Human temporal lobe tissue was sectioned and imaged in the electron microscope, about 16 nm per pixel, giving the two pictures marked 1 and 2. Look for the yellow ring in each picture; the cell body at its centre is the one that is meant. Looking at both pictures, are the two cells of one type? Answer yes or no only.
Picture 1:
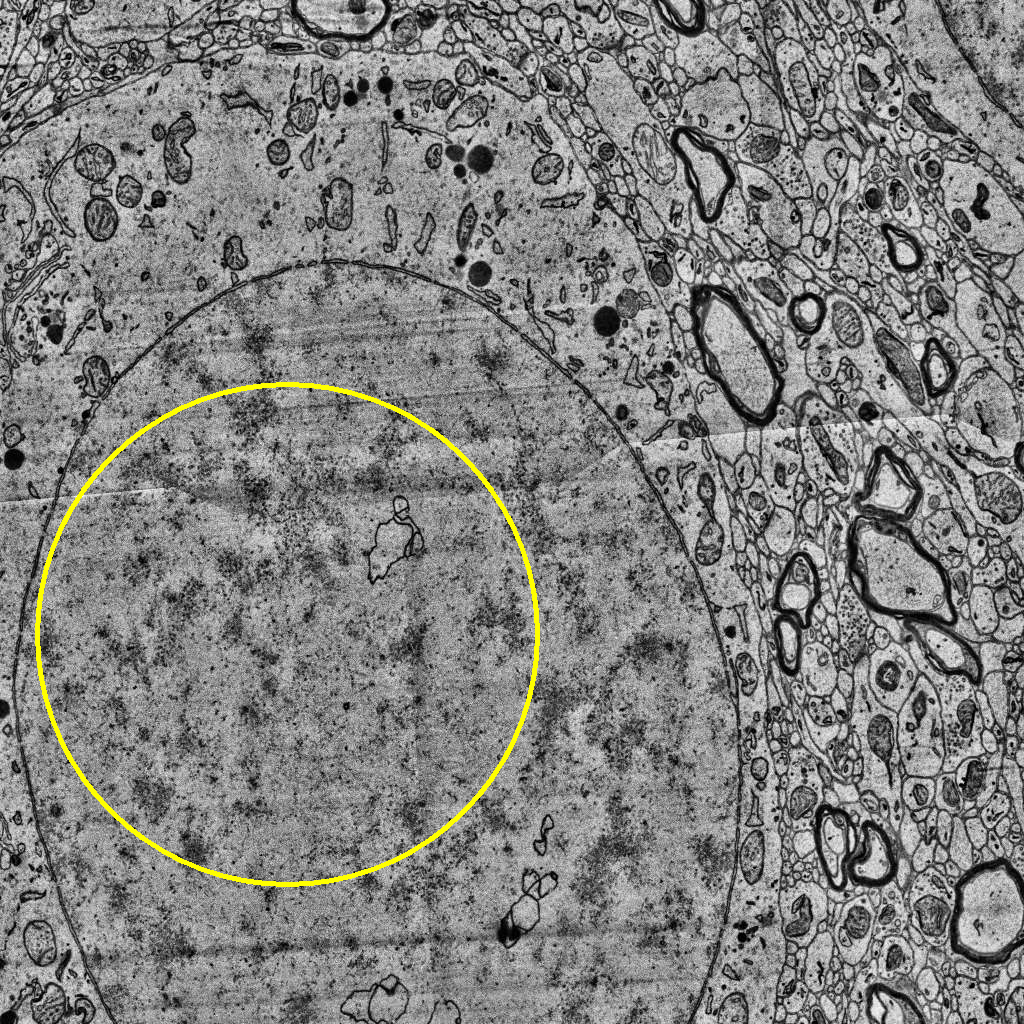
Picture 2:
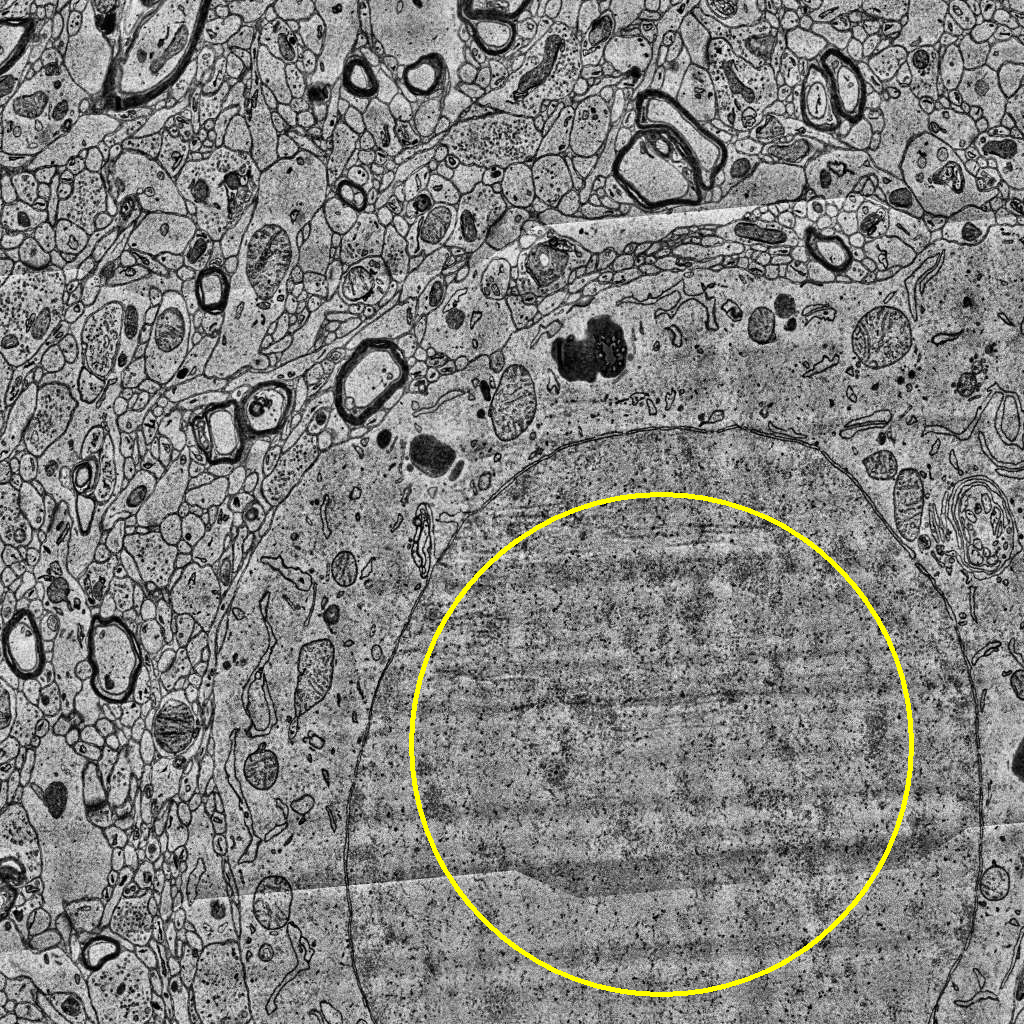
yes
